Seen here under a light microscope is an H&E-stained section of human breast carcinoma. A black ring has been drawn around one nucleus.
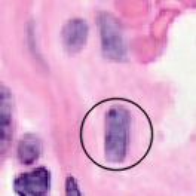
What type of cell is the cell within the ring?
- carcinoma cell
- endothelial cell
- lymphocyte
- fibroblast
lymphocyte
